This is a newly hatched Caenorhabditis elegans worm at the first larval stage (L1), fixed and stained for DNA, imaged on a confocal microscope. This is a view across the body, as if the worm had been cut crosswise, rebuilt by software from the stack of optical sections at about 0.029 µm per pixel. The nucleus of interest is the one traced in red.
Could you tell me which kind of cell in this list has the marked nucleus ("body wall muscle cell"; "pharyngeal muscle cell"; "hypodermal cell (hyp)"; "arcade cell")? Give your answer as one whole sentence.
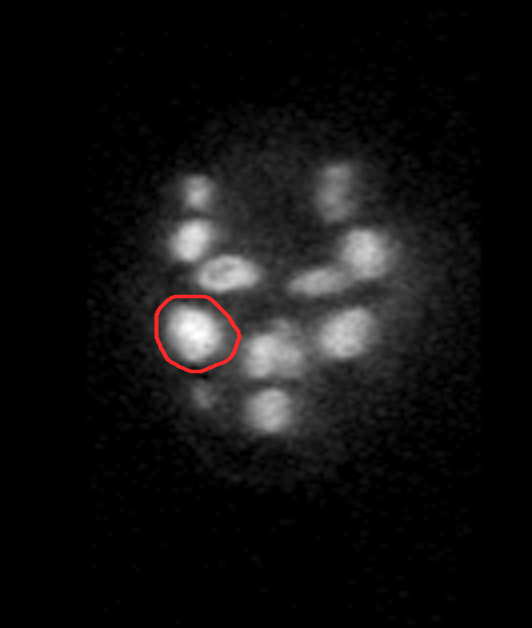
The marked nucleus is that of an arcade cell.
